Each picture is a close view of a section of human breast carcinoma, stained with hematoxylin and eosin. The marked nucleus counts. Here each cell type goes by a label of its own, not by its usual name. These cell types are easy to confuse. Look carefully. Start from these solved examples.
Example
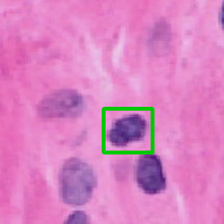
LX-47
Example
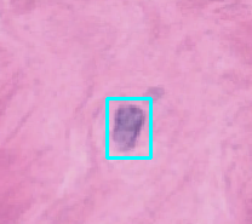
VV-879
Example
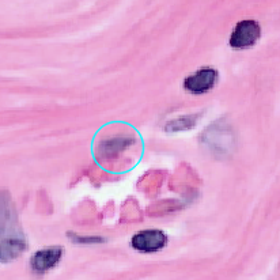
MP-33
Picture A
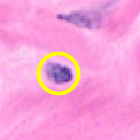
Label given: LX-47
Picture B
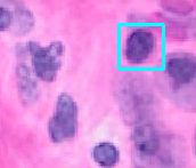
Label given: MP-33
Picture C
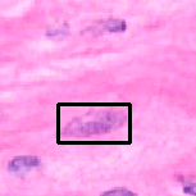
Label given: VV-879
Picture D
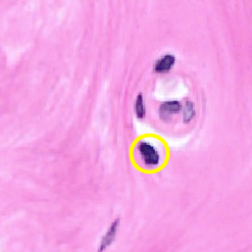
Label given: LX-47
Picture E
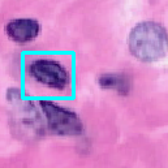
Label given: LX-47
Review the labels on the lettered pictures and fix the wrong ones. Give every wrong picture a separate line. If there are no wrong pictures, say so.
B is labelled MP-33; correct label: LX-47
